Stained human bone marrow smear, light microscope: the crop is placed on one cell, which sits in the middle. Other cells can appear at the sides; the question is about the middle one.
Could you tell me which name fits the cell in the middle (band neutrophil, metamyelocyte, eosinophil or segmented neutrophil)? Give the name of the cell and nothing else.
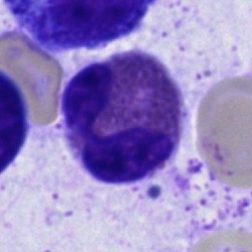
eosinophil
